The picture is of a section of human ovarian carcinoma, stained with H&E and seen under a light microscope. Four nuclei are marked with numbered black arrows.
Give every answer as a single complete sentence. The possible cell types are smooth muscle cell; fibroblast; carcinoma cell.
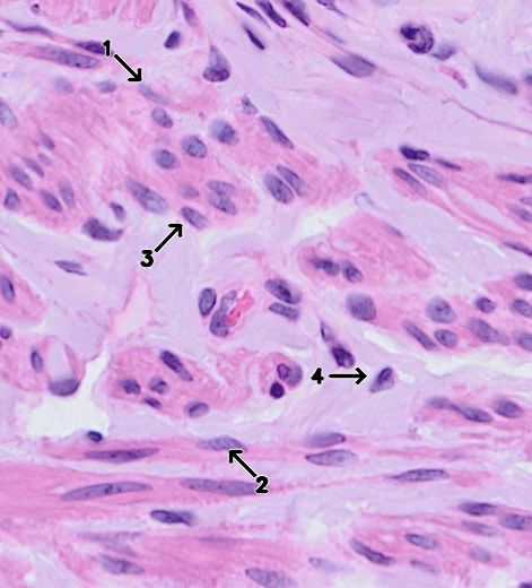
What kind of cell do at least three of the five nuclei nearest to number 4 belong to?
Smooth muscle cells account for more than half of the five nuclei nearest to number 4.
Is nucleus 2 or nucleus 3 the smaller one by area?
Nucleus 3 covers less area, with nucleus 2 about 1.5 times as large.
